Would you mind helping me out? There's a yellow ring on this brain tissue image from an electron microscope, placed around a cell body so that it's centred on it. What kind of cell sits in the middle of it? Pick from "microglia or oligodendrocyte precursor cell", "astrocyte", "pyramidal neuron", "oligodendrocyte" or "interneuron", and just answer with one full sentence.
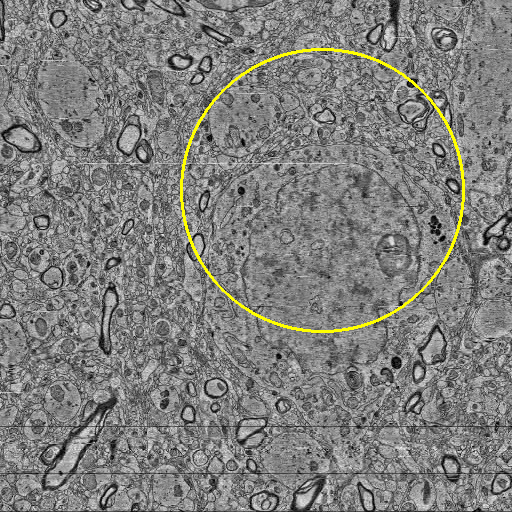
What sits in the middle of that yellow ring is an interneuron, from your choices.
